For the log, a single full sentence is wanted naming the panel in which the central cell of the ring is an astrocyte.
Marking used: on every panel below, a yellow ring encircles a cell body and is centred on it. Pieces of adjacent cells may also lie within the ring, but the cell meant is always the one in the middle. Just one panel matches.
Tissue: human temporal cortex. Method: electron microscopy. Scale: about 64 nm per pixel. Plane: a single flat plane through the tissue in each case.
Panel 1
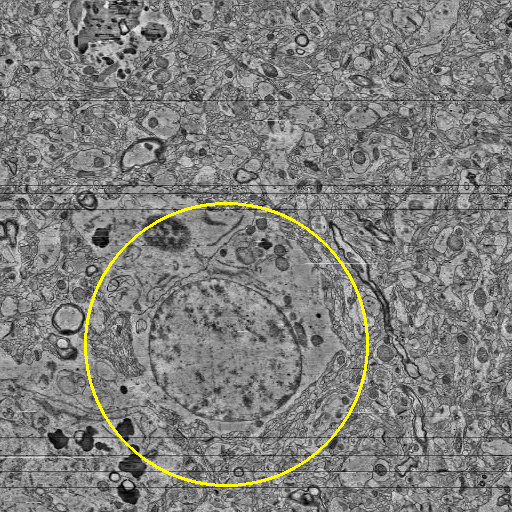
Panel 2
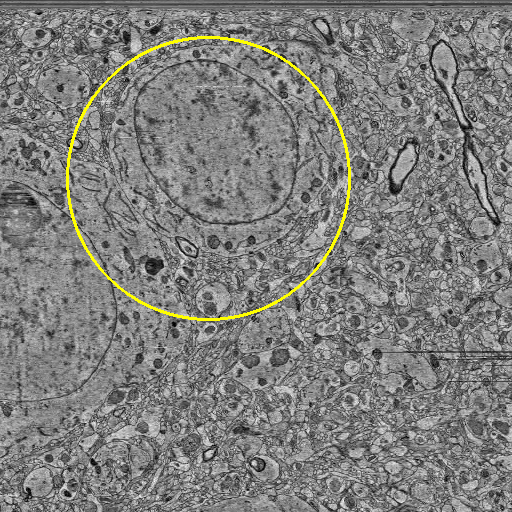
The cell in the middle of the ring in panel 1 is the one asked for.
